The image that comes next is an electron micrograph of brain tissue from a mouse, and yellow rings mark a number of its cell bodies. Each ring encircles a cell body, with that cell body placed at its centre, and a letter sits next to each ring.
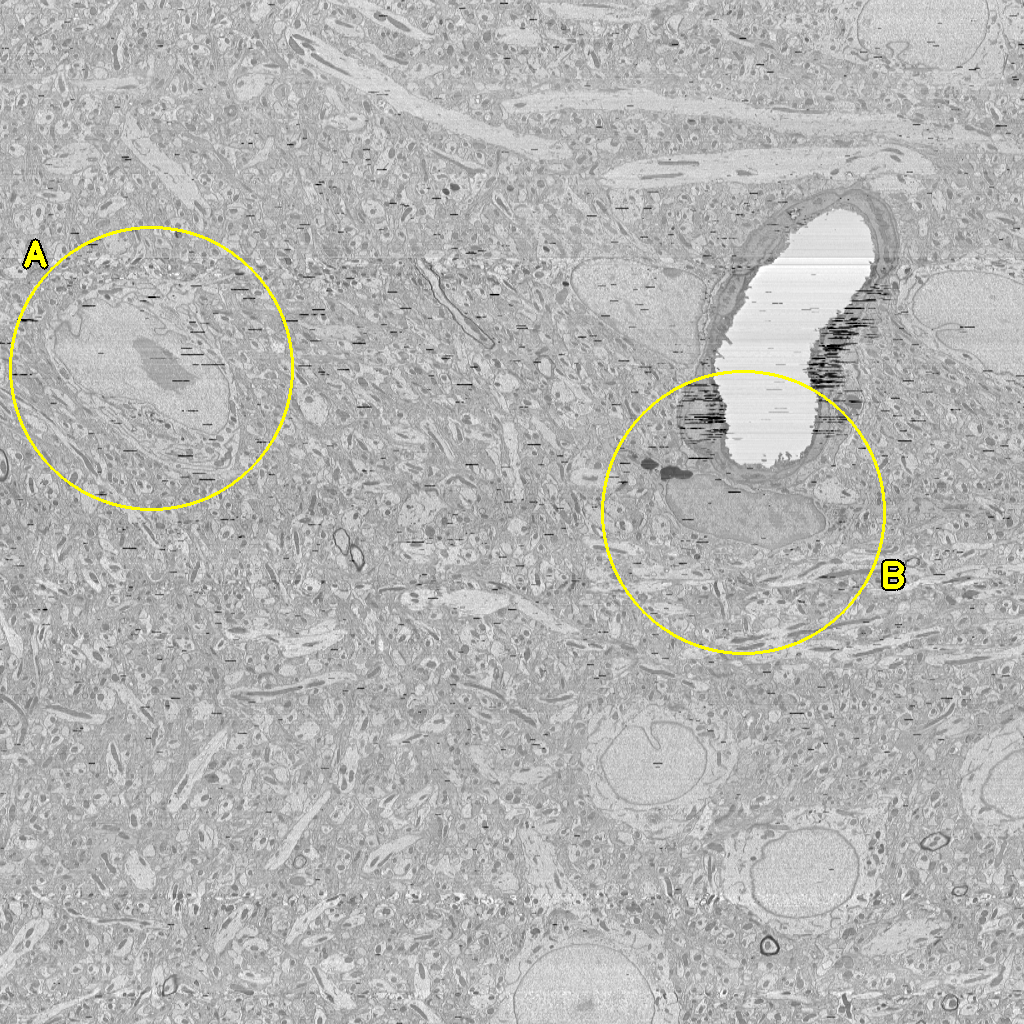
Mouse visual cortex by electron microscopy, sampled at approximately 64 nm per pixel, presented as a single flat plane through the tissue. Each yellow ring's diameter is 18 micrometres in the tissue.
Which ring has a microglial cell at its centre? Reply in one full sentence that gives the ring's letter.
In the image, ring B has the cell the question asks for at its centre.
